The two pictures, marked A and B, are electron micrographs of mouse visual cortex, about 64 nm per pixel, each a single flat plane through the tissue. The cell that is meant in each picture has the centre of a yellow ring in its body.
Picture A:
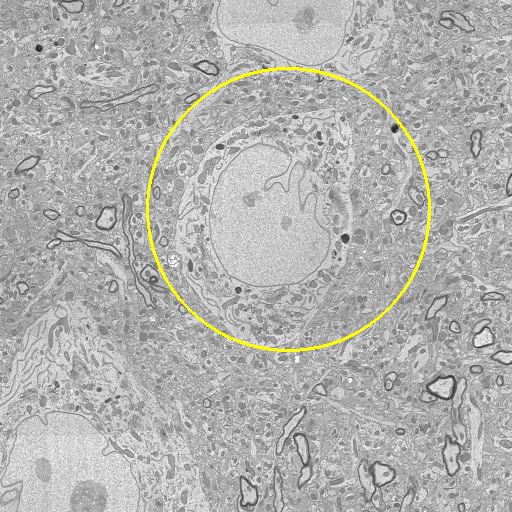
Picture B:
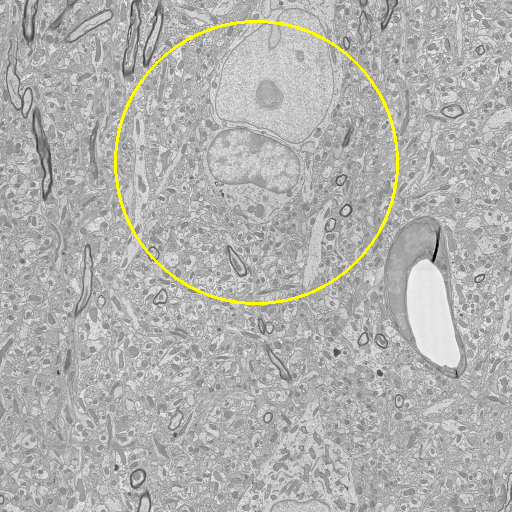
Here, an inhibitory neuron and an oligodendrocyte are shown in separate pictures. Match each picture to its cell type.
Picture B shows an oligodendrocyte, while picture A shows an inhibitory neuron.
